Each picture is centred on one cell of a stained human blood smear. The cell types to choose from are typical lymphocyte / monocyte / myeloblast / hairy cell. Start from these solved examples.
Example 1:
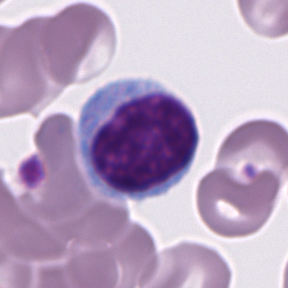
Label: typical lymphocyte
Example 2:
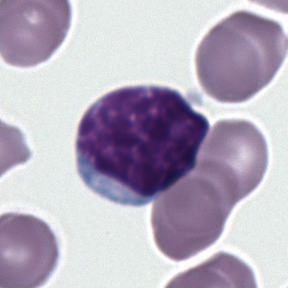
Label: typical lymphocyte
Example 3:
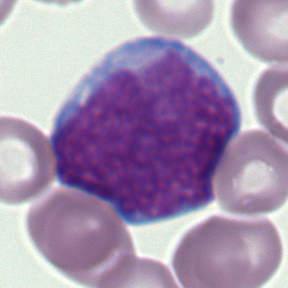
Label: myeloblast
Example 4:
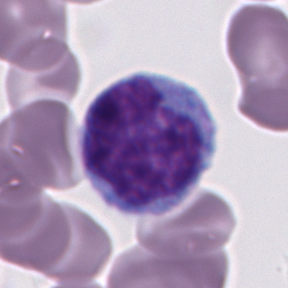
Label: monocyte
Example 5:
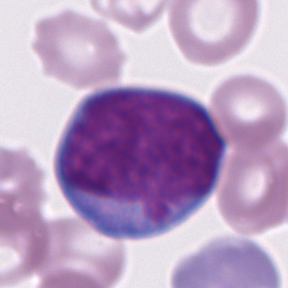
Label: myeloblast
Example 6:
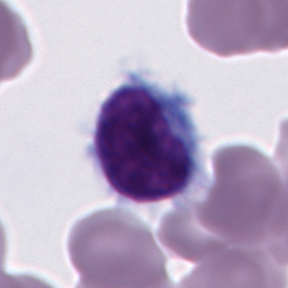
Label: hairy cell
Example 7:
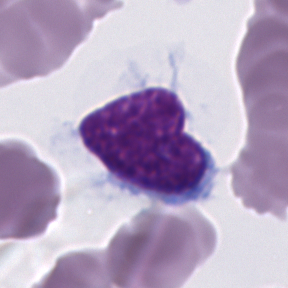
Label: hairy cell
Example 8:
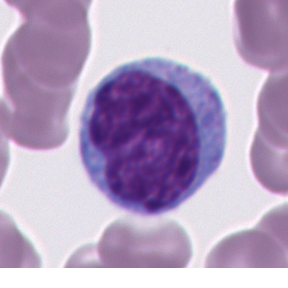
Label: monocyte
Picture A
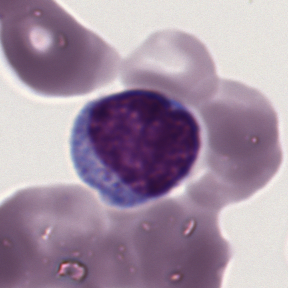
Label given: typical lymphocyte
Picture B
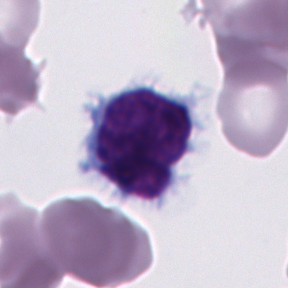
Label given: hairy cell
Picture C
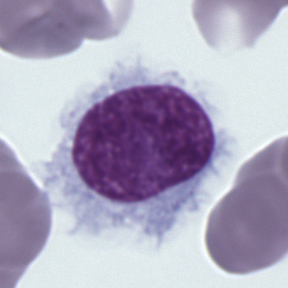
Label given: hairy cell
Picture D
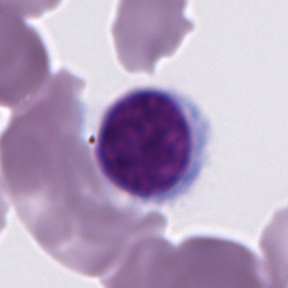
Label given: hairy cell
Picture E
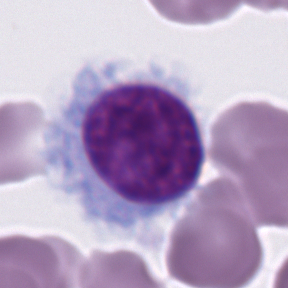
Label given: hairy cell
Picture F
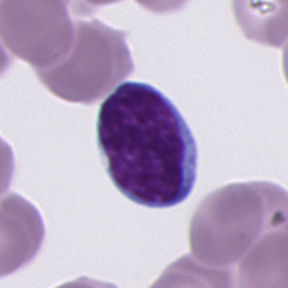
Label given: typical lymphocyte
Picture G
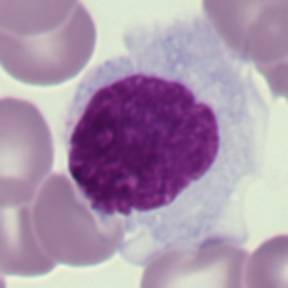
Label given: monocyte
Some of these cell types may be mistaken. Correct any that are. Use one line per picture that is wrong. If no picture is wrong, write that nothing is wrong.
G: change monocyte to hairy cell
